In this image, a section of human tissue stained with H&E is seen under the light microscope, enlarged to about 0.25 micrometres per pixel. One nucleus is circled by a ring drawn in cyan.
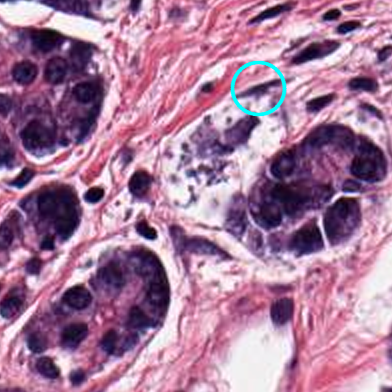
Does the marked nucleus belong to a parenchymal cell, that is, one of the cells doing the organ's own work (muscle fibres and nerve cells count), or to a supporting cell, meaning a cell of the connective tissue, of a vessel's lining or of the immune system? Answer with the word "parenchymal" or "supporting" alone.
supporting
